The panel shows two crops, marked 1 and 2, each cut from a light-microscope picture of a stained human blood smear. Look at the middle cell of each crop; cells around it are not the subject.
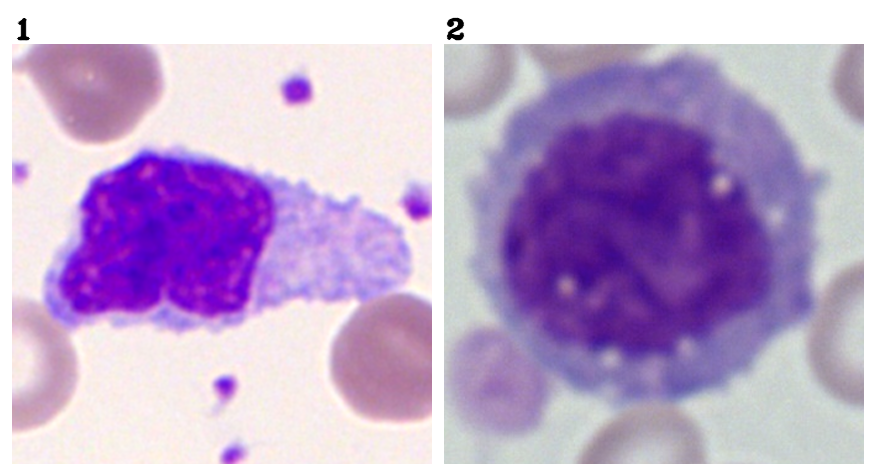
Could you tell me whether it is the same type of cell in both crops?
yes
